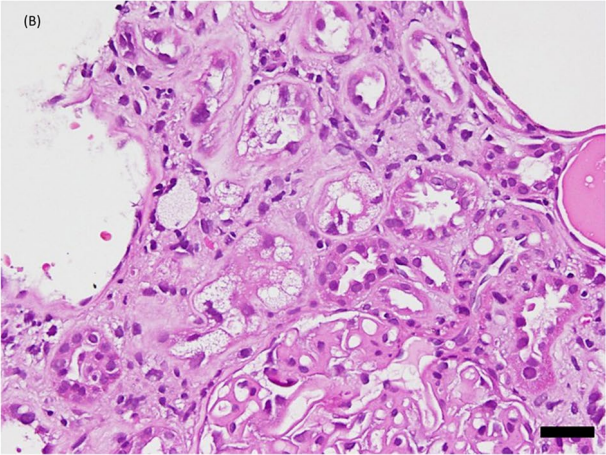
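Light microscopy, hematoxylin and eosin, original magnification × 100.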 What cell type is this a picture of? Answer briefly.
proximal tubular epithelial cells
